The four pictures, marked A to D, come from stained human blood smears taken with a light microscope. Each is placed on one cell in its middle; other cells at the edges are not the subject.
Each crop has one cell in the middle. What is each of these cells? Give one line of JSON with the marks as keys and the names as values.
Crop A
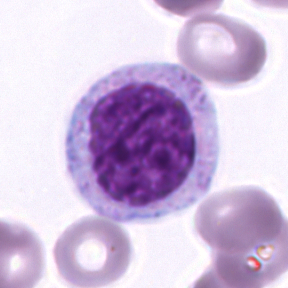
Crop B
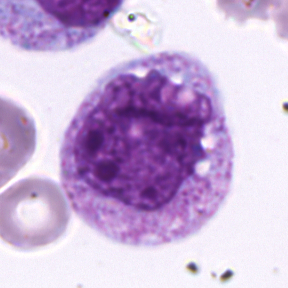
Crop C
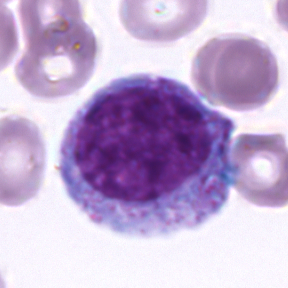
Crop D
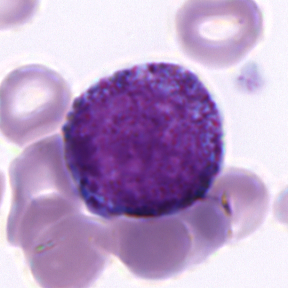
{"A": "myelocyte", "B": "myelocyte", "C": "promyelocyte", "D": "promyelocyte"}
